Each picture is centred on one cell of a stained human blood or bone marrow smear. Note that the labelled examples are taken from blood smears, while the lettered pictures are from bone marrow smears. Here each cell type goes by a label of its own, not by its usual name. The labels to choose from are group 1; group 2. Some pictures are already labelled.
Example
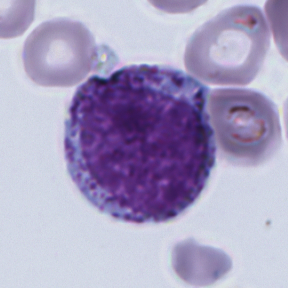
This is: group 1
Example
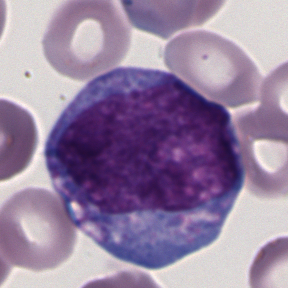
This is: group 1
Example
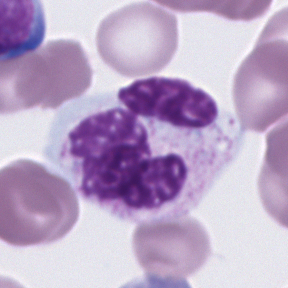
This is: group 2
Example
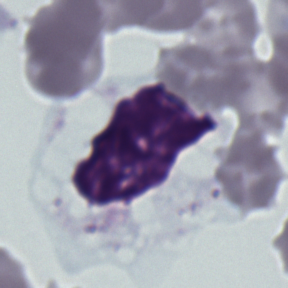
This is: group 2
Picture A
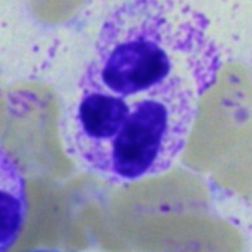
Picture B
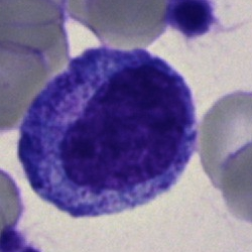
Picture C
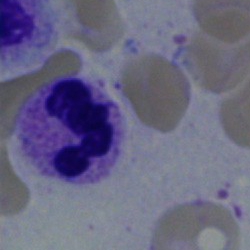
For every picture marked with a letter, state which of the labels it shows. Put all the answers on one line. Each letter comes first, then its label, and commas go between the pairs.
A group 2, B group 1, C group 2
